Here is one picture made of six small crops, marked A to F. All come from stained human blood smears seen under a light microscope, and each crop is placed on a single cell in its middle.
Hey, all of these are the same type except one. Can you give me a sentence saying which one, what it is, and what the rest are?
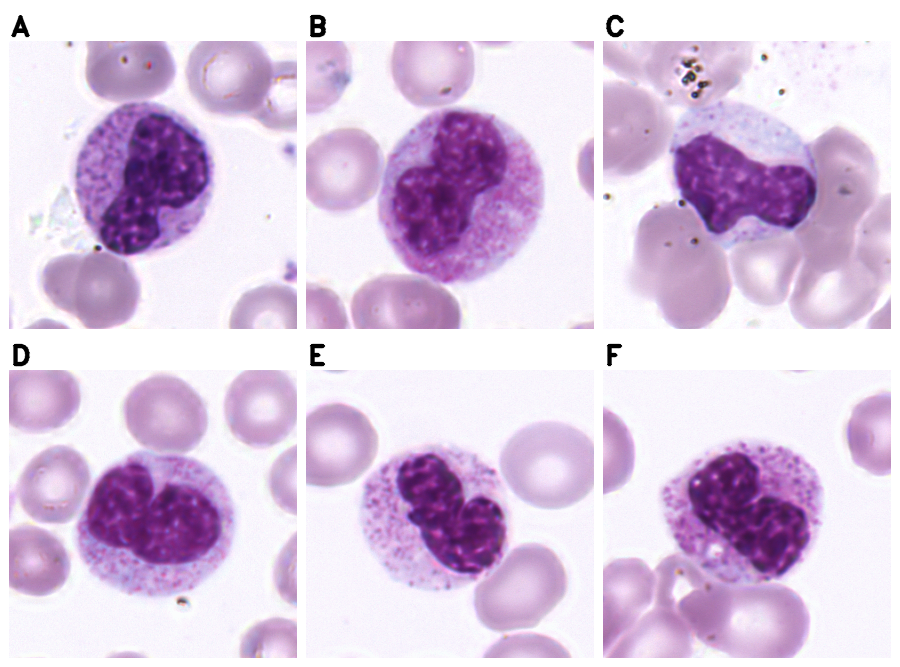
Crop C breaks the pattern as a metamyelocyte; the other crops all contain band neutrophils.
